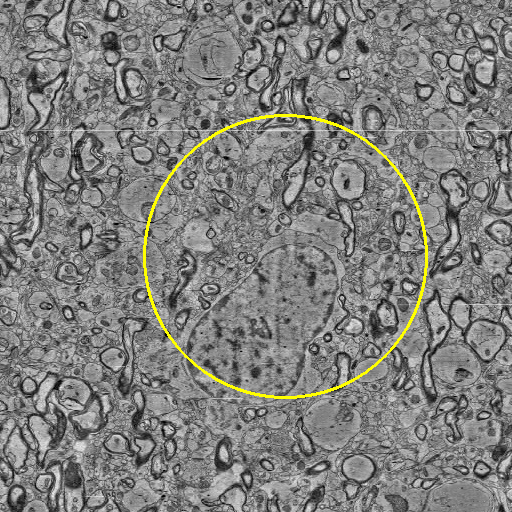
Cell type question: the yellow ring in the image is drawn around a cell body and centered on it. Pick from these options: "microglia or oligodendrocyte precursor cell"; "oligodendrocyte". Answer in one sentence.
The ringed cell at the center is a microglial cell or oligodendrocyte precursor cell.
